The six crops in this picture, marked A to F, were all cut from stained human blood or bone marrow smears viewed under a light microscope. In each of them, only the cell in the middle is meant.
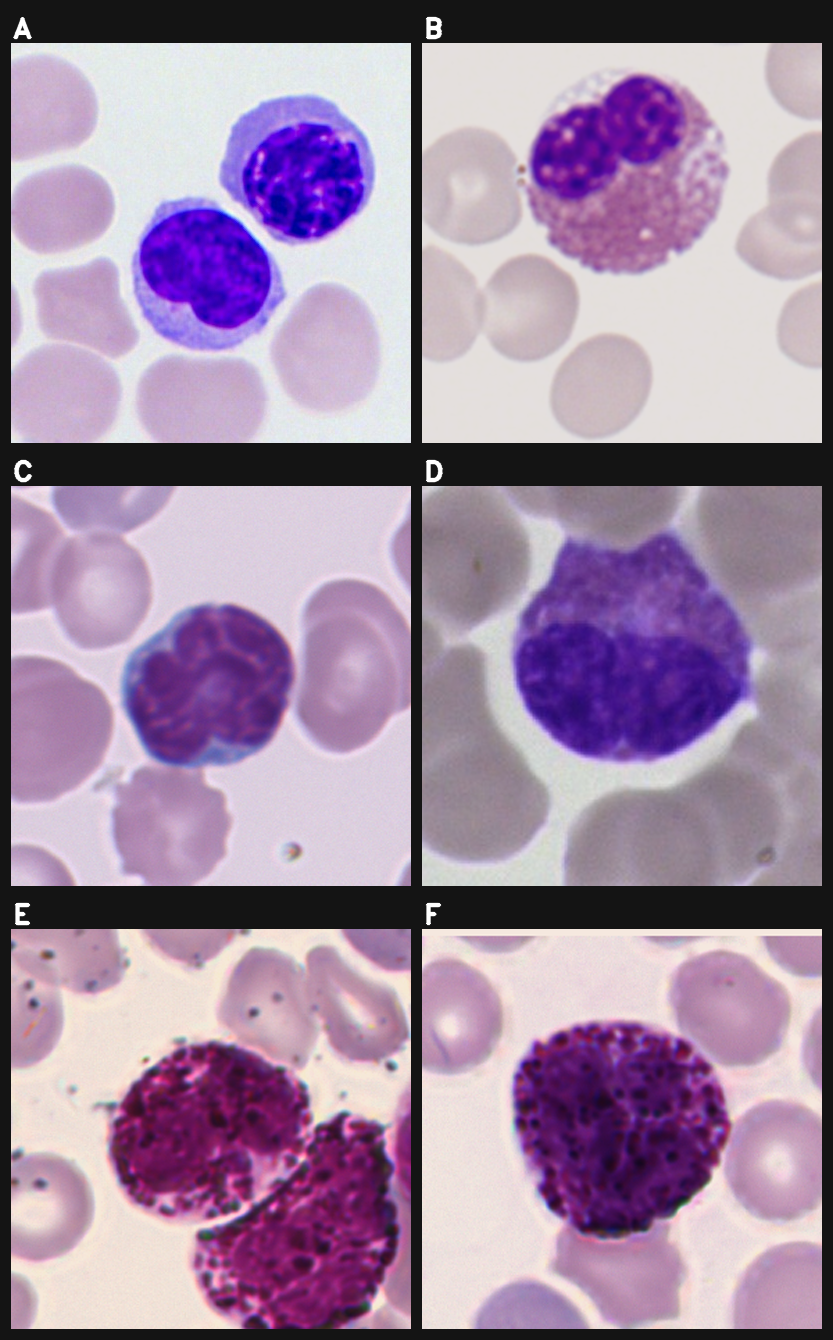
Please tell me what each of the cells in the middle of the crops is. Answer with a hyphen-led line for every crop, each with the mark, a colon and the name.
- A: lymphocyte
- B: eosinophil
- C: lymphocyte
- D: eosinophil
- E: basophil
- F: basophil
